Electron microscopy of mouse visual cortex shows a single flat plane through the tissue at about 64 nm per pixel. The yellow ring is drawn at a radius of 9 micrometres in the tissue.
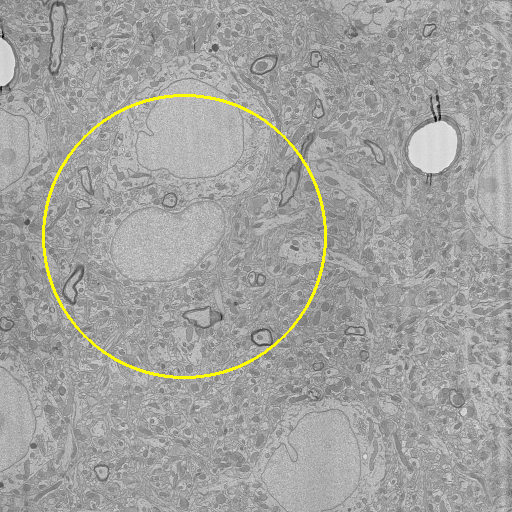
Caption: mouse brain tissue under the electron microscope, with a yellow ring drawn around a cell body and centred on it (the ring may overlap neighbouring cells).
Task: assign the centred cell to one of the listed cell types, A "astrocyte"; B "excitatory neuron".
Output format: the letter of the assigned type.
A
